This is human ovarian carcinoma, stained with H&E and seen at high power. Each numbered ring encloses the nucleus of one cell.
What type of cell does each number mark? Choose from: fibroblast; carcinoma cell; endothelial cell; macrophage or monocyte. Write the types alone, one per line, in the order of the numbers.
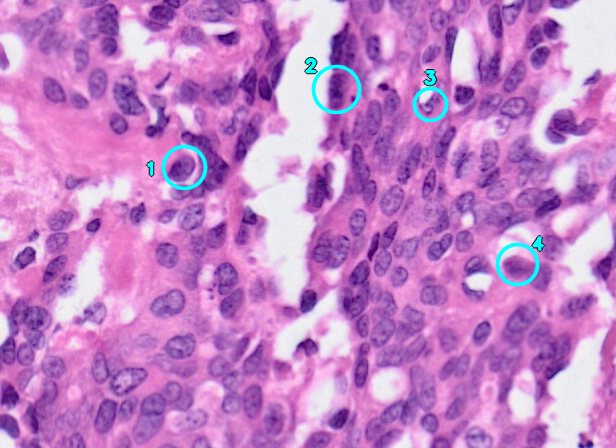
carcinoma cell
carcinoma cell
endothelial cell
carcinoma cell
